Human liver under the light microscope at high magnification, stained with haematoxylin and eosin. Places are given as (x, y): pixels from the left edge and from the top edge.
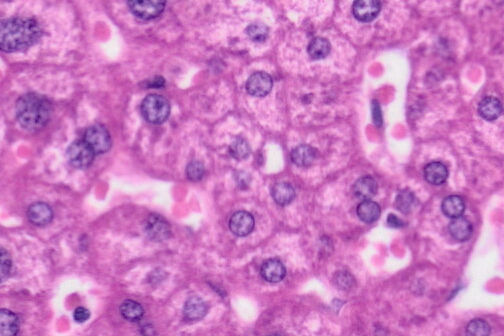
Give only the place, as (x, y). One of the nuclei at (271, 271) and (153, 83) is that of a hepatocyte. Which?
(271, 271)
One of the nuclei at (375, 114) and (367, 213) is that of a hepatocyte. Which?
(367, 213)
